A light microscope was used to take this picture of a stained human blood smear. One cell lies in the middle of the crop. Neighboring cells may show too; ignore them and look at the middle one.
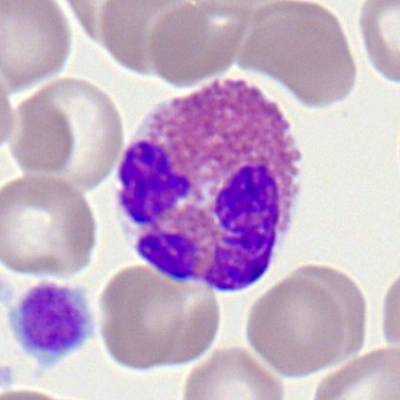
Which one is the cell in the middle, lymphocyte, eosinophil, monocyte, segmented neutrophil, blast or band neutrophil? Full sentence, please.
The central cell in this smear crop is an eosinophil.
